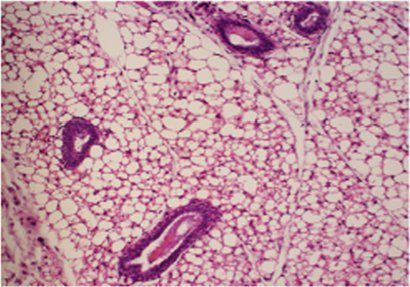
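This section of mammary gland shows a few epithelial ducts lying within a broad field of adipose tissue. The fat cells are large, polygonal and appear empty, with only thin pink borders, arranged like a honeycomb. The ducts are small, with a central lumen lined by epithelial cells with dark purple nuclei. Thin pale strands of connective tissue run across the fat between the ducts.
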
